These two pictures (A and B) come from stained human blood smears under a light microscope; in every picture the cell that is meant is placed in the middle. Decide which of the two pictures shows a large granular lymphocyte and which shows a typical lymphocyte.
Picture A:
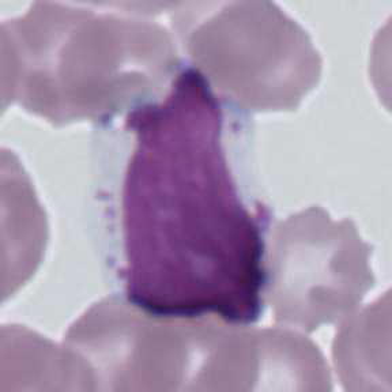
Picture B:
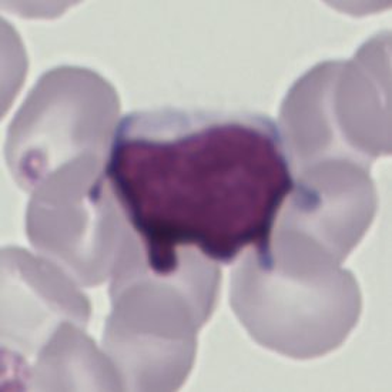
A: large granular lymphocyte
B: typical lymphocyte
